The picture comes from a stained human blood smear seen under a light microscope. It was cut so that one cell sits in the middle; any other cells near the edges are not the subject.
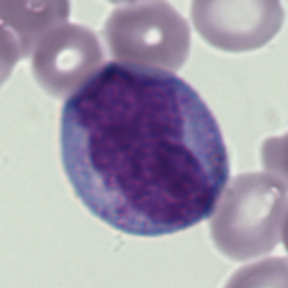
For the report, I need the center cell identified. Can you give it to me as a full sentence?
What sits at the centre of this crop is a promyelocyte.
